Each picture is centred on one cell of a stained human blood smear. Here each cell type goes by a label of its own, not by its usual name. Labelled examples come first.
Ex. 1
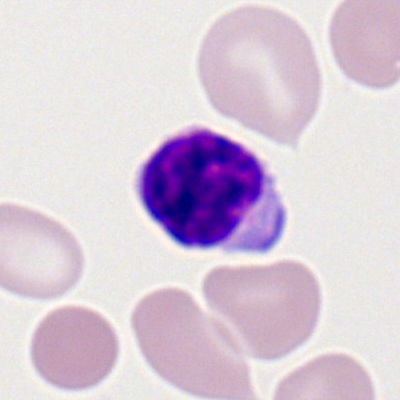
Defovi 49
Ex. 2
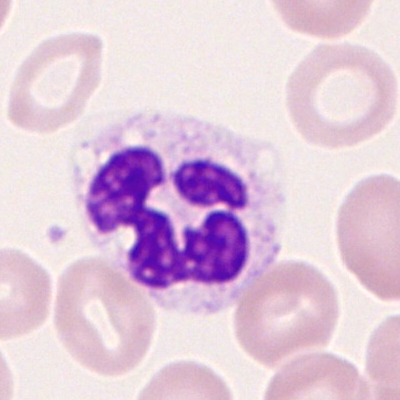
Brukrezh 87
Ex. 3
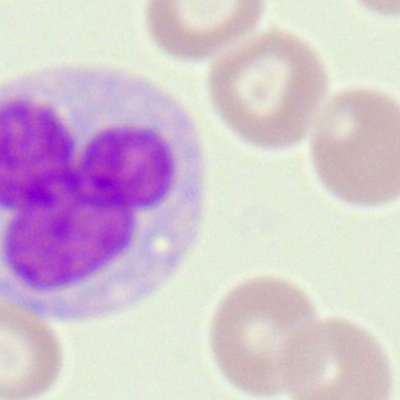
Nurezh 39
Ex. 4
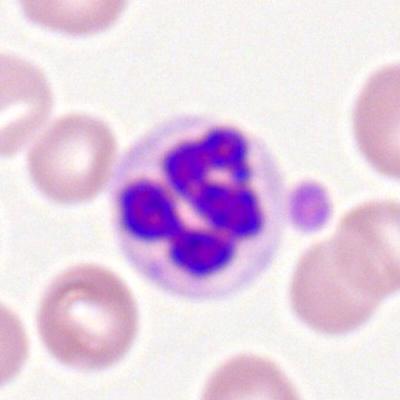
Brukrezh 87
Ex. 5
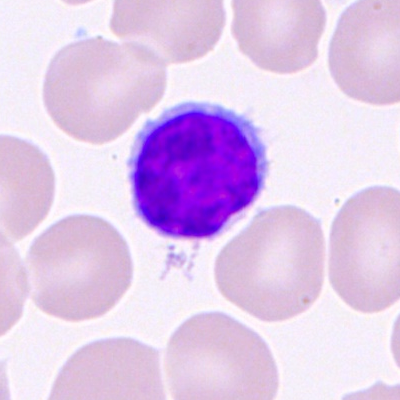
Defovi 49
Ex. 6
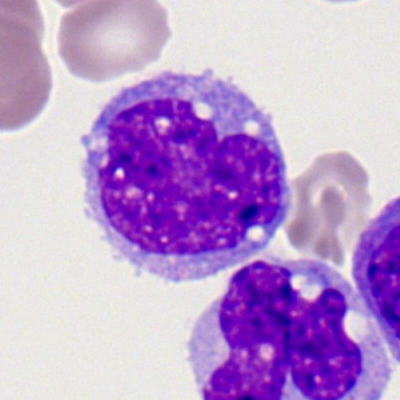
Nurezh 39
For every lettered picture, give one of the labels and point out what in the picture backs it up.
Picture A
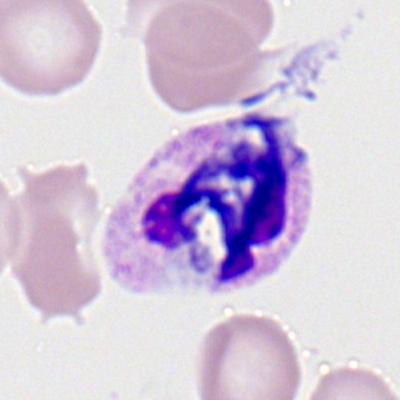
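Answer: Brukrezh 87. The nucleus is a curved, twisted band that wraps around a pale central gap.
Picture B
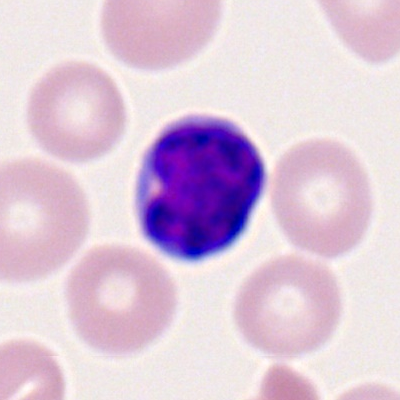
Answer: Defovi 49. The cytoplasm forms only a scant rim around the nucleus.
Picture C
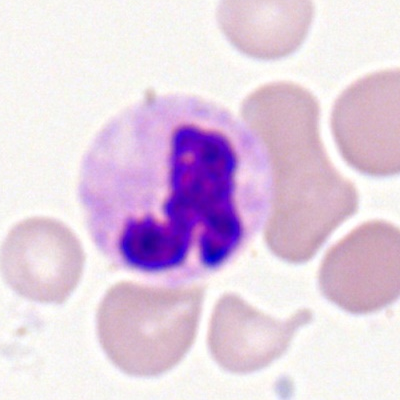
Answer: Brukrezh 87. The nucleus is a single curved, hook-shaped mass.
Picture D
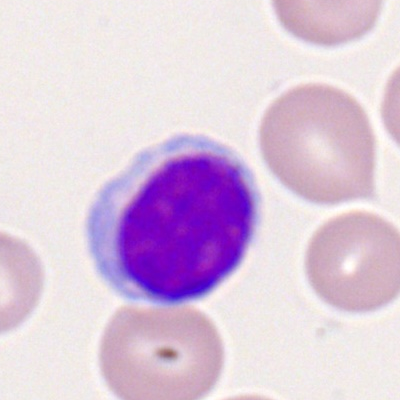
Answer: Defovi 49. The cytoplasm forms a thin rim that is broadest on the left side.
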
